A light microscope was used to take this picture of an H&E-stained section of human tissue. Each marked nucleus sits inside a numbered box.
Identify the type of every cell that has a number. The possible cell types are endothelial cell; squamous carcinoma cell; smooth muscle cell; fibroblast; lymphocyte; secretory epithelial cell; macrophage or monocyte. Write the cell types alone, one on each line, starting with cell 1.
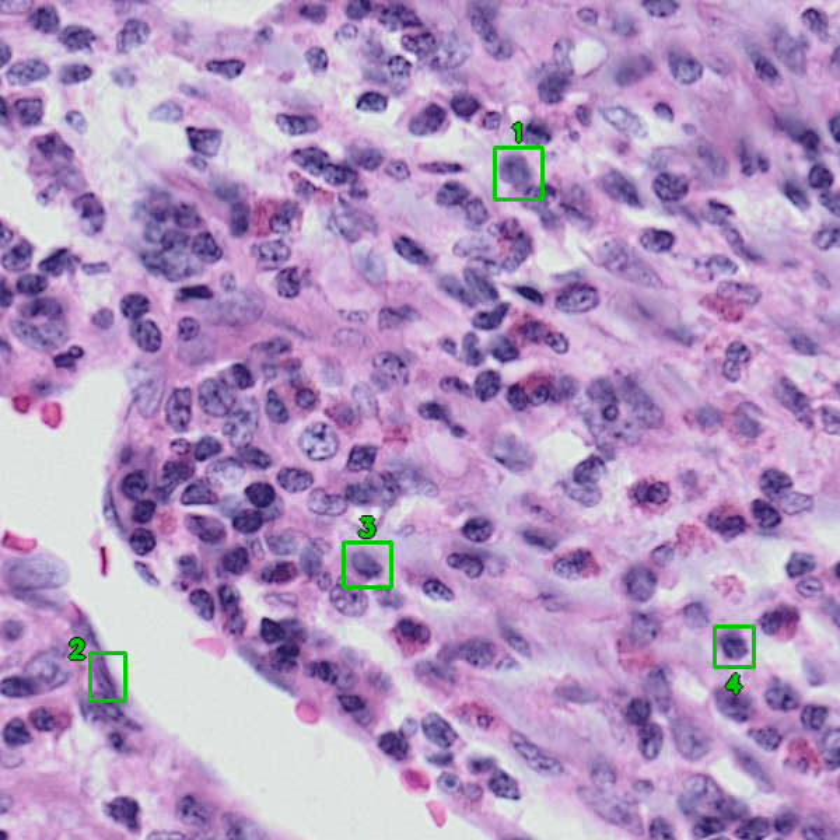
lymphocyte
endothelial cell
lymphocyte
lymphocyte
